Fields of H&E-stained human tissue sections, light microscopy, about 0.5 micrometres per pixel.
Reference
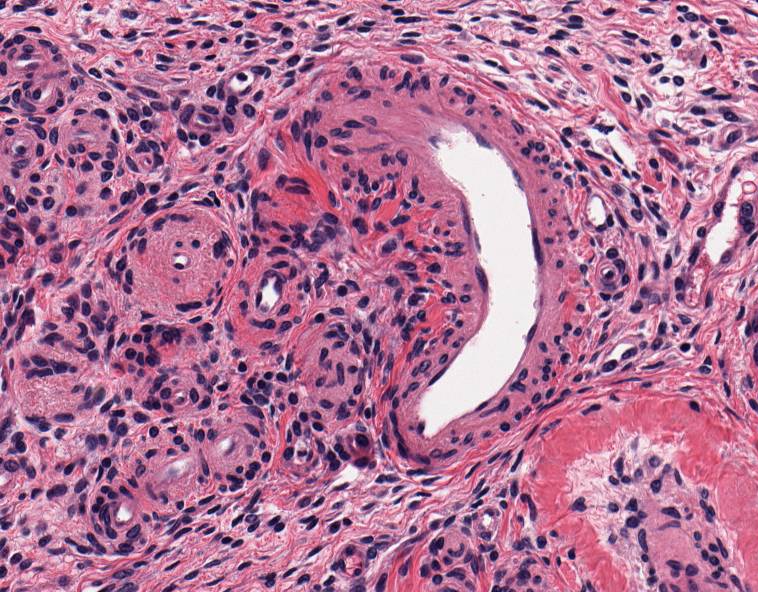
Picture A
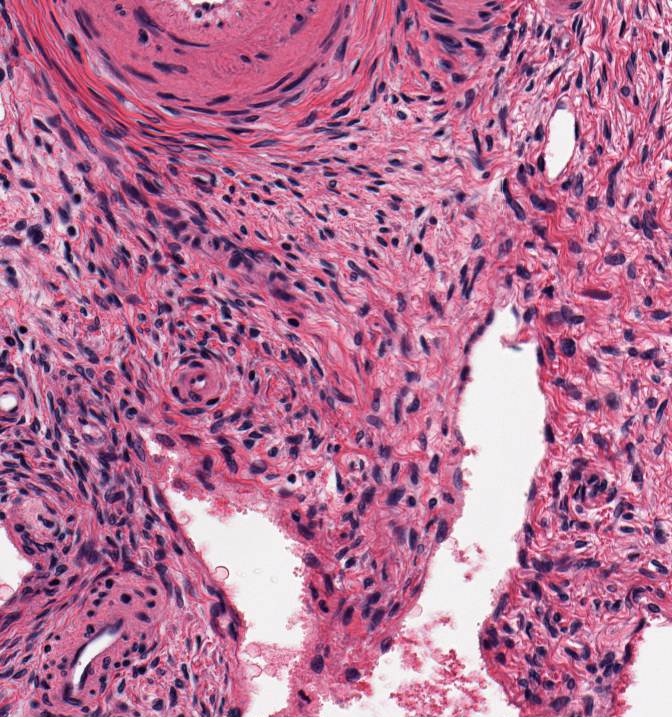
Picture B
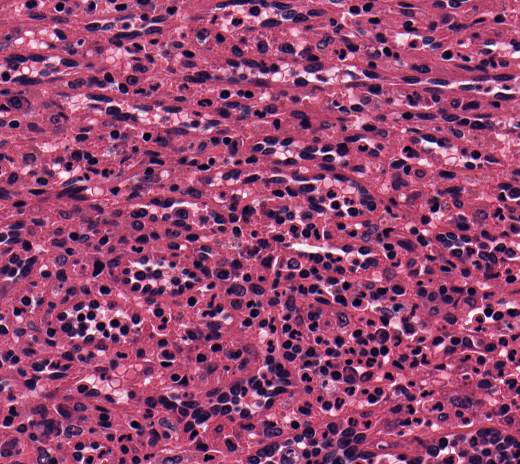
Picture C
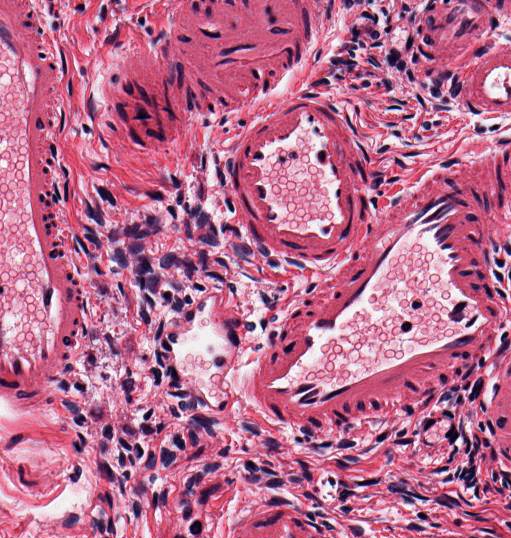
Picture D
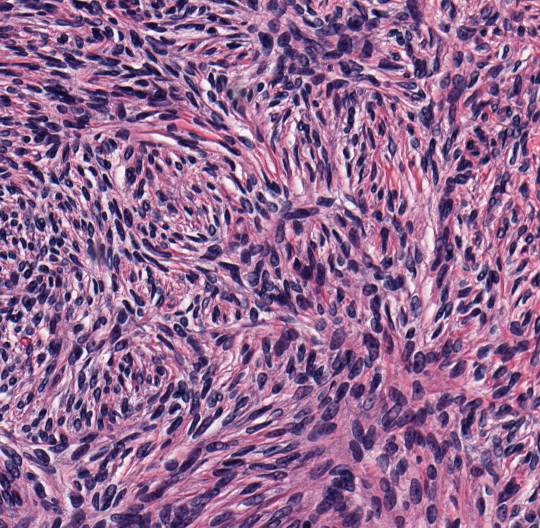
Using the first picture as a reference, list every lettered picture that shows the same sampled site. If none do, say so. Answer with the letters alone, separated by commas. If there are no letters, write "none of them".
A, C, D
